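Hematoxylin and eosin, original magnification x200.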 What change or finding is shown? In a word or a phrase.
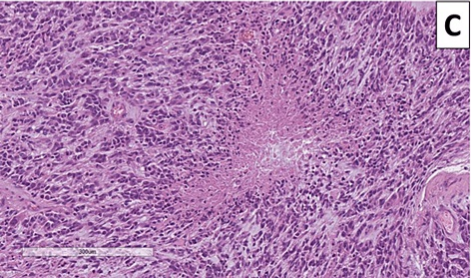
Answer: Pseudopalysadic necrosis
